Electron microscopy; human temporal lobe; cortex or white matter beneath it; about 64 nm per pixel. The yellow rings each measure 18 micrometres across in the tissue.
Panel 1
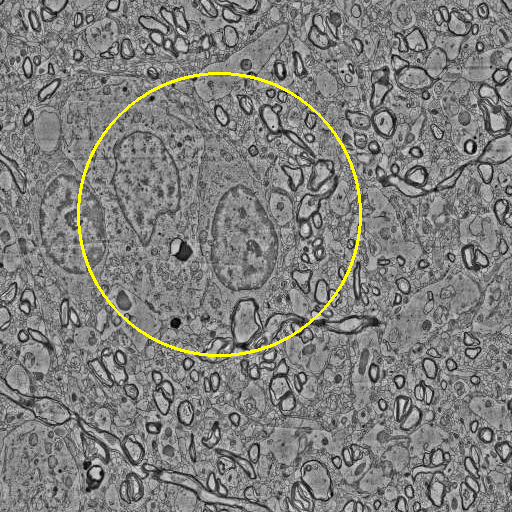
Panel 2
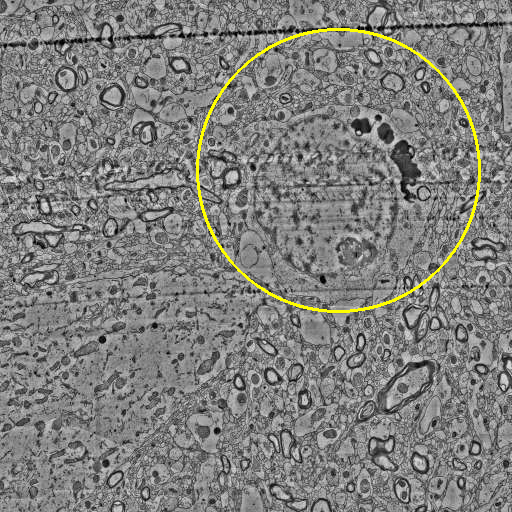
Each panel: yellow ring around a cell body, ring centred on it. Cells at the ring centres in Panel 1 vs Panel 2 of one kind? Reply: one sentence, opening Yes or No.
No, Panel 1 and Panel 2 have cells of two kinds at the ring centres.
